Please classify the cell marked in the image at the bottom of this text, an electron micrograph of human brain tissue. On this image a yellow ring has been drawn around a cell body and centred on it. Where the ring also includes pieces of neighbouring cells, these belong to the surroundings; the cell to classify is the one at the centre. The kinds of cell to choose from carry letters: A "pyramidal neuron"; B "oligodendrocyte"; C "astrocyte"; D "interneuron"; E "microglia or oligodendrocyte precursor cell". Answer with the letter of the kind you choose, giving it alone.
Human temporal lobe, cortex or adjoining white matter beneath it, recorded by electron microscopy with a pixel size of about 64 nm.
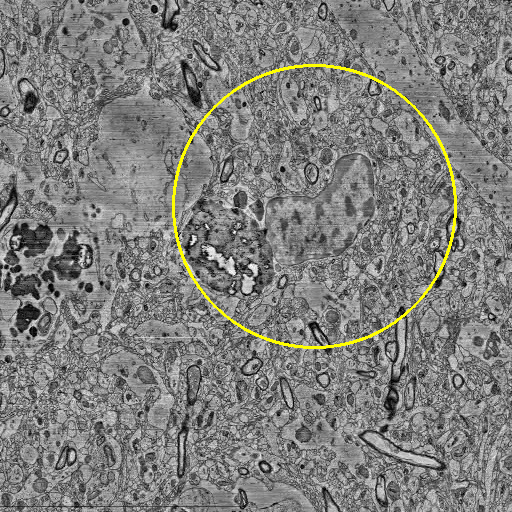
E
